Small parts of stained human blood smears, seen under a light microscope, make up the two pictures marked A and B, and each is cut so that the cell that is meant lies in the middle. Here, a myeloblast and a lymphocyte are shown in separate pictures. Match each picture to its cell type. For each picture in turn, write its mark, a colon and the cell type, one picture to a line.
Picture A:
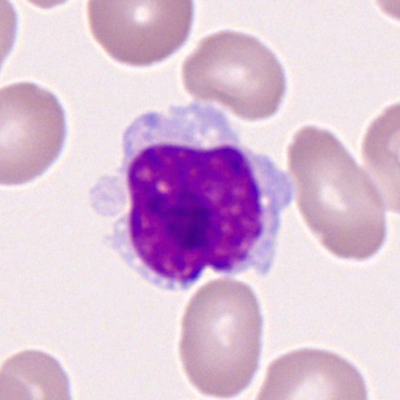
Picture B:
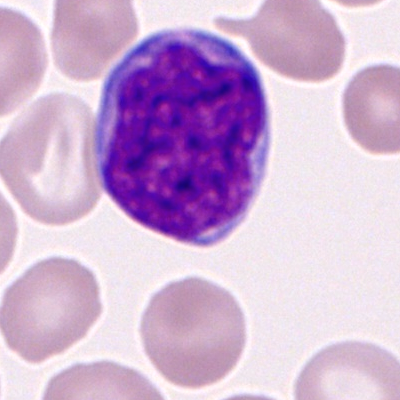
A: lymphocyte
B: myeloblast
